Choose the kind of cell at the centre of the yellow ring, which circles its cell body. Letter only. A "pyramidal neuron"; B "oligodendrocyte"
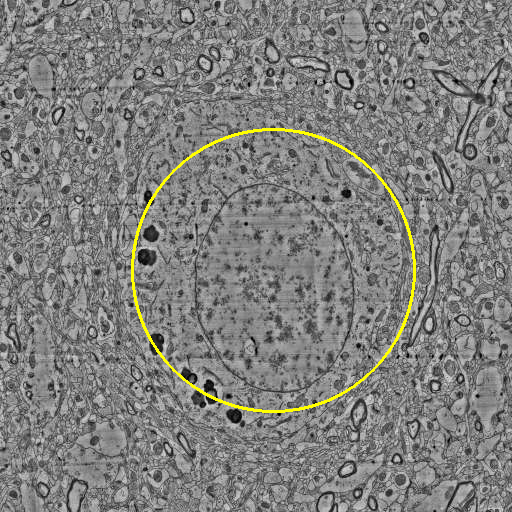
A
